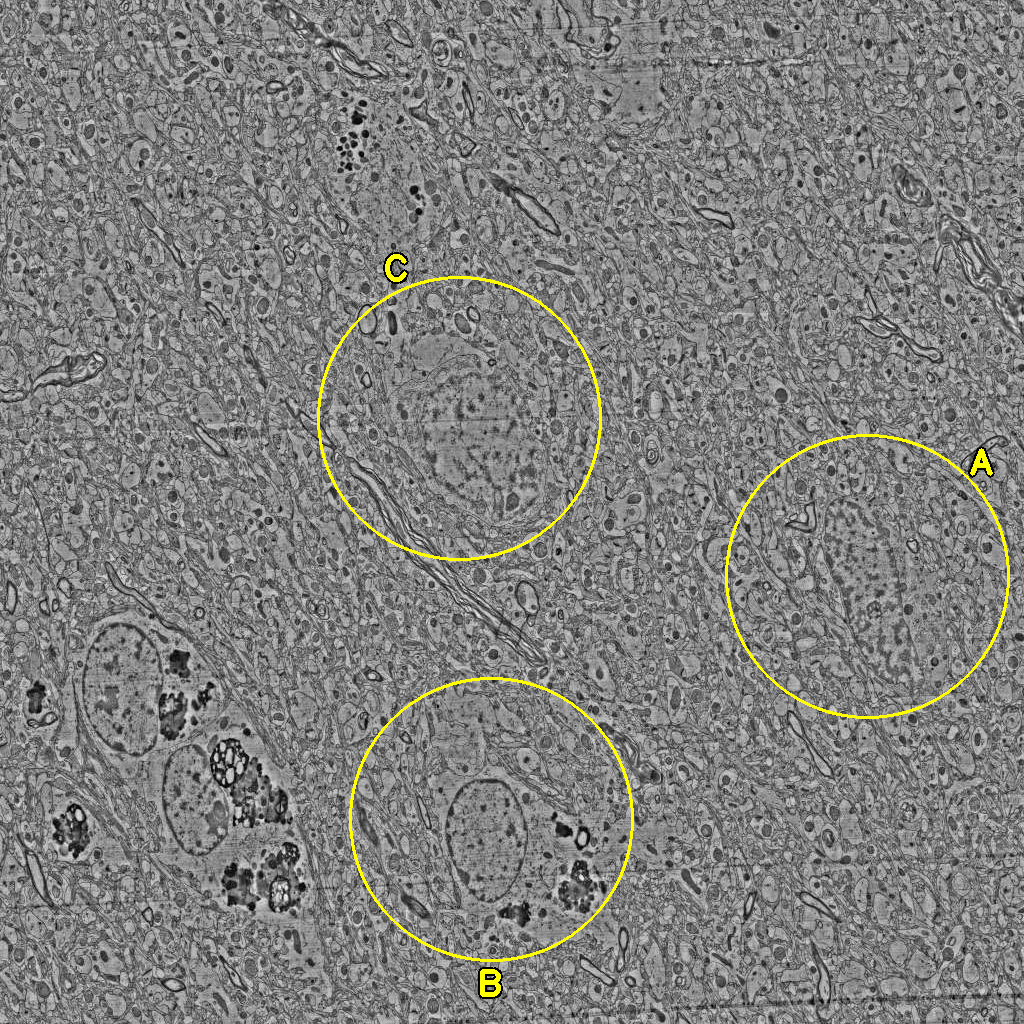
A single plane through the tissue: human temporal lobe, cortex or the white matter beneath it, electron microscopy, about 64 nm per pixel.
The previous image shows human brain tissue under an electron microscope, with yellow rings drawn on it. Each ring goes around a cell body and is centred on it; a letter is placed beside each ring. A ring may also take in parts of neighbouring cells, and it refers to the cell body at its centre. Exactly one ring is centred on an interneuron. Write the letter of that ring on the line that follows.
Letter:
C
